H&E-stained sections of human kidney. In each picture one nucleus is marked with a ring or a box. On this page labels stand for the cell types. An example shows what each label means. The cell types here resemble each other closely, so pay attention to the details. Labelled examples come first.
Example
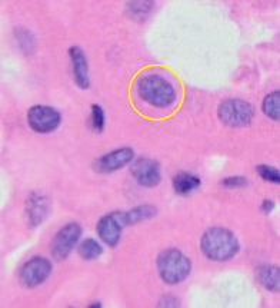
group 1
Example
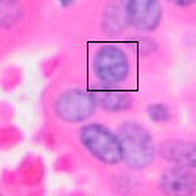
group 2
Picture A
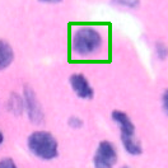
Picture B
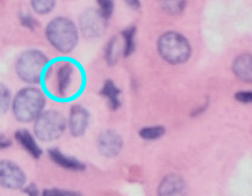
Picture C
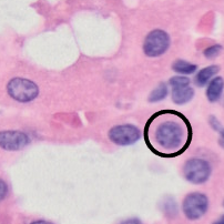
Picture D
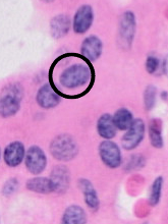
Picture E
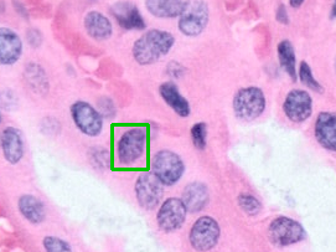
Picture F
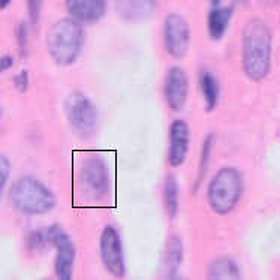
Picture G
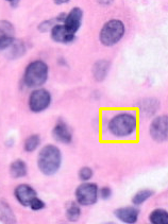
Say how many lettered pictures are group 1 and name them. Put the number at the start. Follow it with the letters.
3, namely A, C, F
